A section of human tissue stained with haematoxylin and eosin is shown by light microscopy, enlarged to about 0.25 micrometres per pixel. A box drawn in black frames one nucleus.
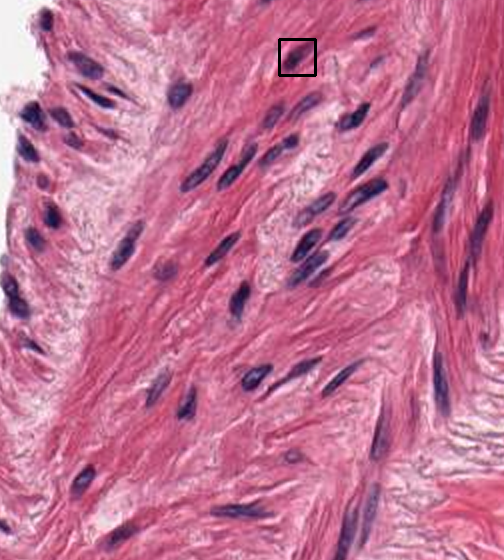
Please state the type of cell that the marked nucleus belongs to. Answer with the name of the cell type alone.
smooth muscle cell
